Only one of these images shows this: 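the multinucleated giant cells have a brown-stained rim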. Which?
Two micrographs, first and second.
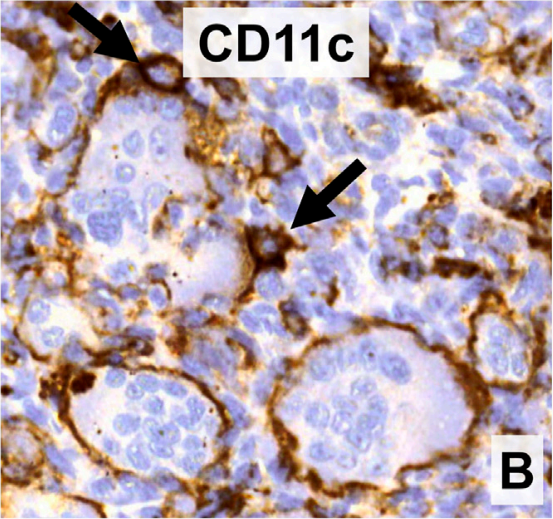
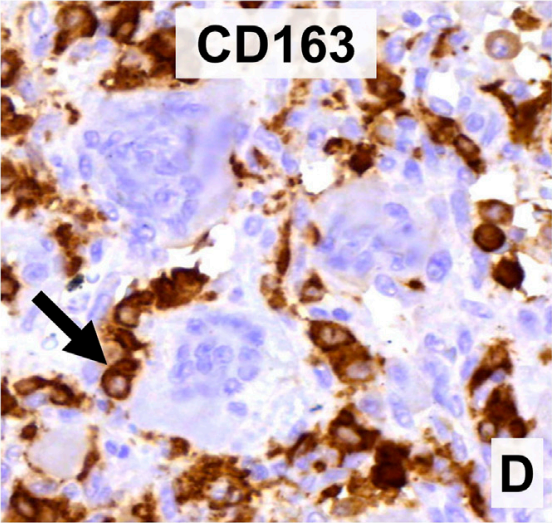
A: the first image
